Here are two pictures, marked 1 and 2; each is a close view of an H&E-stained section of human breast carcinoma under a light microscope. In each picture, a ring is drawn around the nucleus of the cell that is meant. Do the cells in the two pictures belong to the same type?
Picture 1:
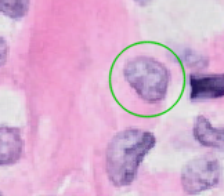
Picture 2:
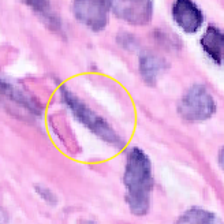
no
